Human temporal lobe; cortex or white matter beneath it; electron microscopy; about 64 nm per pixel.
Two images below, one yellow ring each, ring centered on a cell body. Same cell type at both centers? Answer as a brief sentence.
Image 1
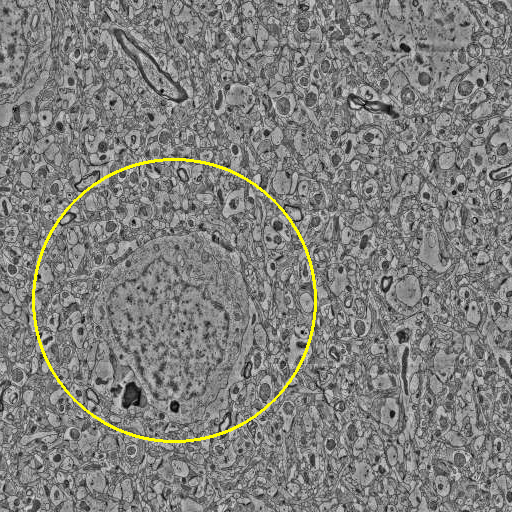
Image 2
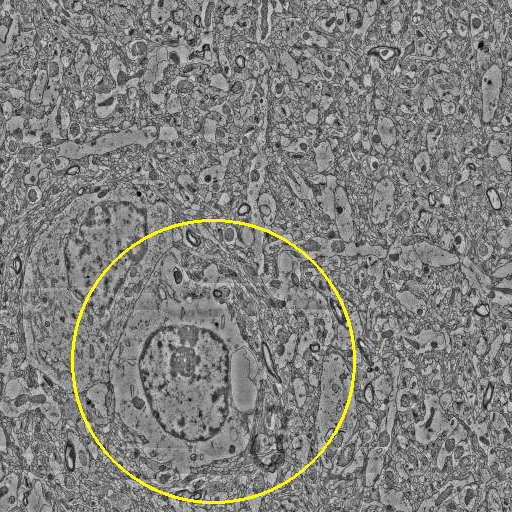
No, the cells are of two separate types.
